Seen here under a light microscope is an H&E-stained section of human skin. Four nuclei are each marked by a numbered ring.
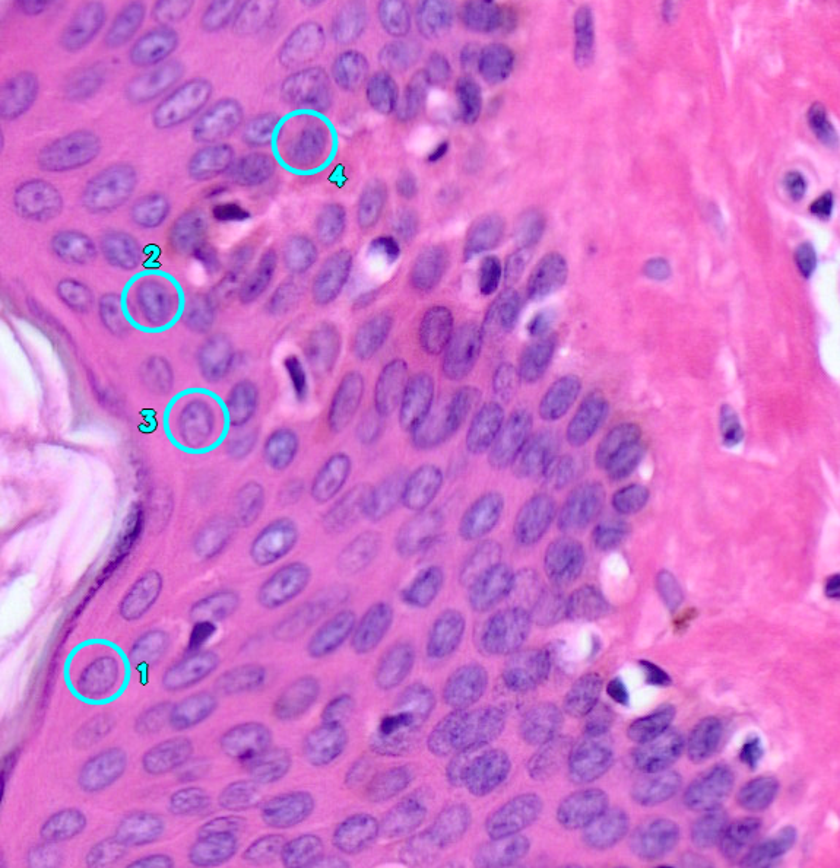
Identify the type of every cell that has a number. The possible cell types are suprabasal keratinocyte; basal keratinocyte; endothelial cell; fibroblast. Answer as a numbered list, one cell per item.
1. suprabasal keratinocyte
2. suprabasal keratinocyte
3. suprabasal keratinocyte
4. basal keratinocyte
